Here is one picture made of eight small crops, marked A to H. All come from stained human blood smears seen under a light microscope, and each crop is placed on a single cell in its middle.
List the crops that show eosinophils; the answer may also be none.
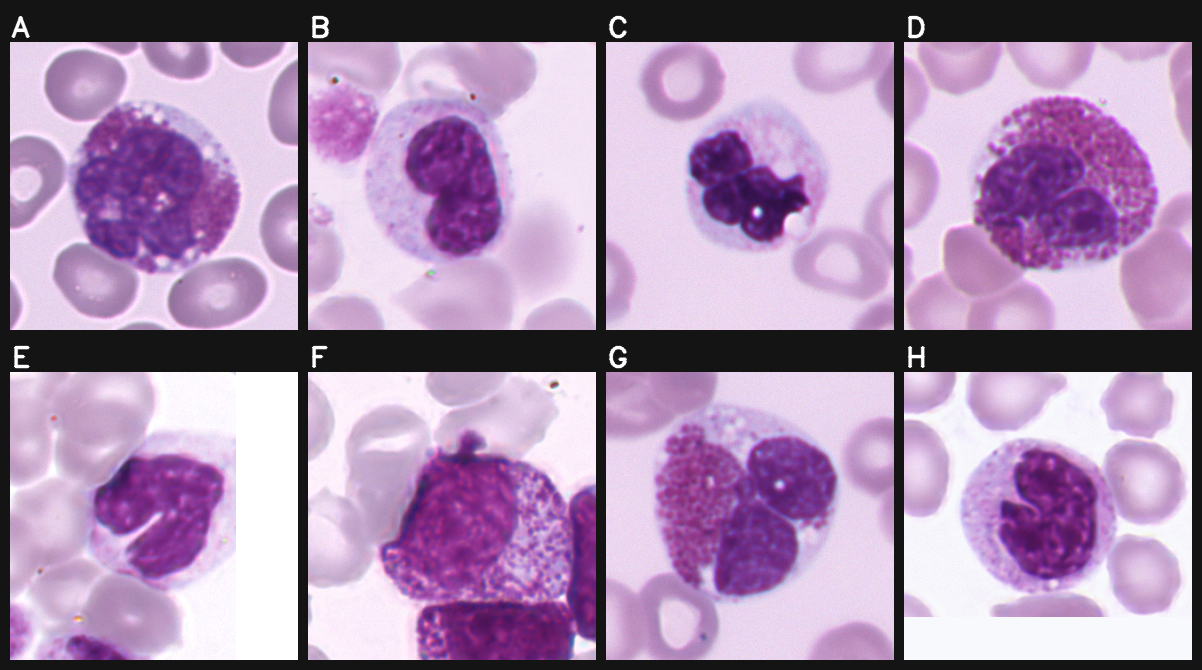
A, D, G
